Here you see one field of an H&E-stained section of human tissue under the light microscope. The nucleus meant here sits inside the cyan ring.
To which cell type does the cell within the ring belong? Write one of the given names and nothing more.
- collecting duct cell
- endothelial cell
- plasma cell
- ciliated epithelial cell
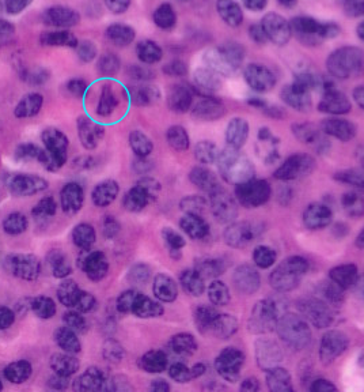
plasma cell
